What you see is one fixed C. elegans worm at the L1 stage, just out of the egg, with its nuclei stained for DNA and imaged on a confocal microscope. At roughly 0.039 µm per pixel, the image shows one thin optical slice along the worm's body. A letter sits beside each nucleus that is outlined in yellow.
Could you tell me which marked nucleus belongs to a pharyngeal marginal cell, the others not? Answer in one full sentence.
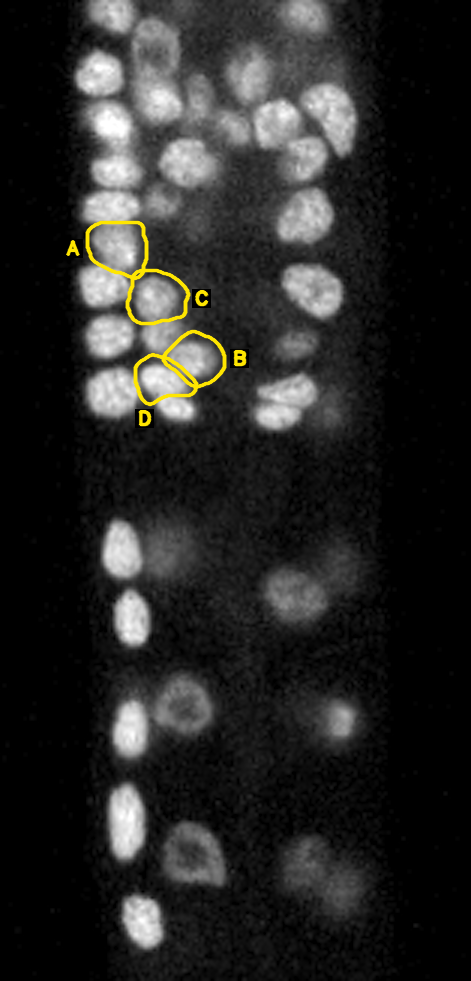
Nucleus C belongs to a pharyngeal marginal cell.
